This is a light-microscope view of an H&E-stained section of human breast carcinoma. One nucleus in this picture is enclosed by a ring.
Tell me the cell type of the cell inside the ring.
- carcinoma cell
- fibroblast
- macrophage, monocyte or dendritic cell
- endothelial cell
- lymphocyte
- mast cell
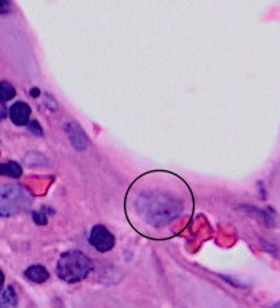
endothelial cell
